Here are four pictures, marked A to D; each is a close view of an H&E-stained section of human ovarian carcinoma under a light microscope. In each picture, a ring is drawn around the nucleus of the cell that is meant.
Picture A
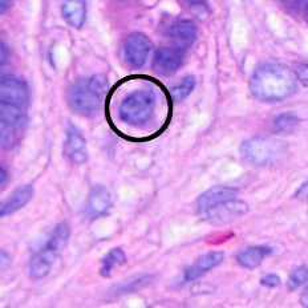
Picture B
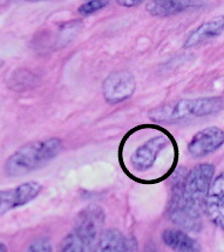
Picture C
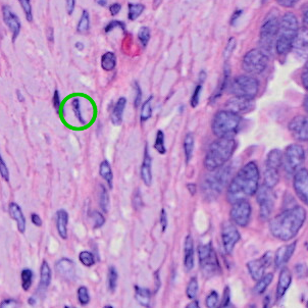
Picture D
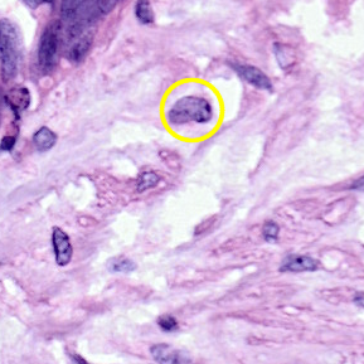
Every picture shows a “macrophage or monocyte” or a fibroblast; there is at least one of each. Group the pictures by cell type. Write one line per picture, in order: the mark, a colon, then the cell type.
A: macrophage or monocyte
B: macrophage or monocyte
C: fibroblast
D: macrophage or monocyte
